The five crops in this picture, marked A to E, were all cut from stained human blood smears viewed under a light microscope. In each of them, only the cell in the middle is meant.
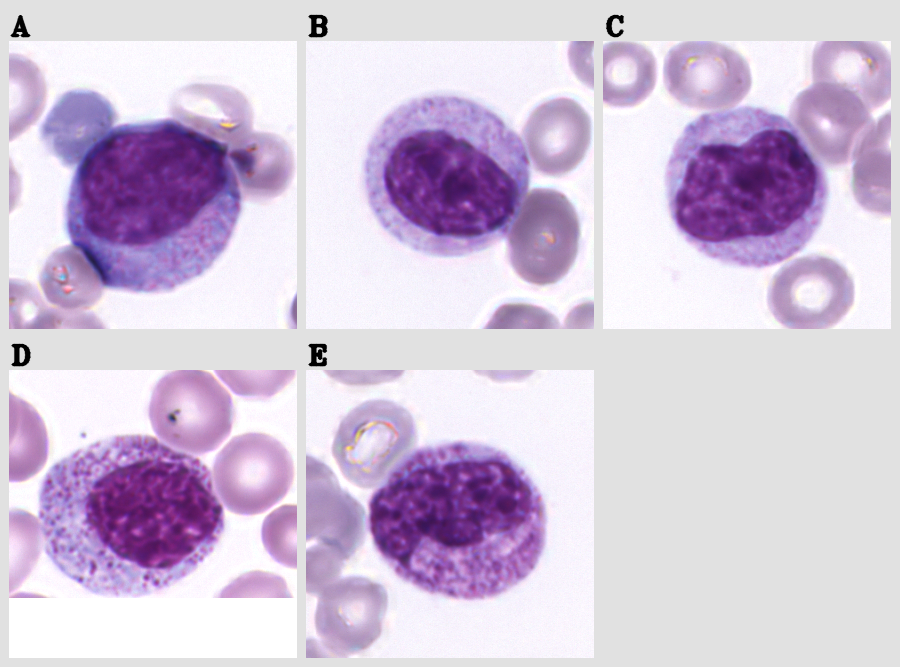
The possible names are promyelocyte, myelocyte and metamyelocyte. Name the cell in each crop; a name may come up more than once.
A: promyelocyte
B: myelocyte
C: myelocyte
D: myelocyte
E: metamyelocyte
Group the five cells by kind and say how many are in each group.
myelocyte: 3
promyelocyte: 1
metamyelocyte: 1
